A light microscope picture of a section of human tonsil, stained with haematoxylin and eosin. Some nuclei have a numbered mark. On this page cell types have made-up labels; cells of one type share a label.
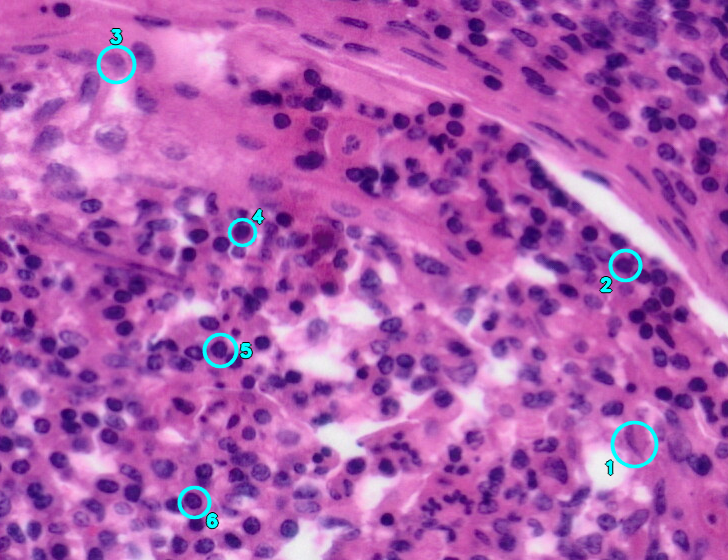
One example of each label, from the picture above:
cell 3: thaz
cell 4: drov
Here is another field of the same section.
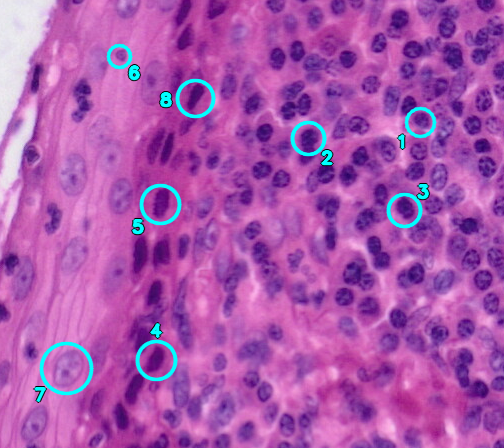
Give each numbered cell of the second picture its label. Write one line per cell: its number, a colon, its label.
1: drov
2: drov
3: drov
4: thaz
5: thaz
6: thaz
7: thaz
8: thaz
